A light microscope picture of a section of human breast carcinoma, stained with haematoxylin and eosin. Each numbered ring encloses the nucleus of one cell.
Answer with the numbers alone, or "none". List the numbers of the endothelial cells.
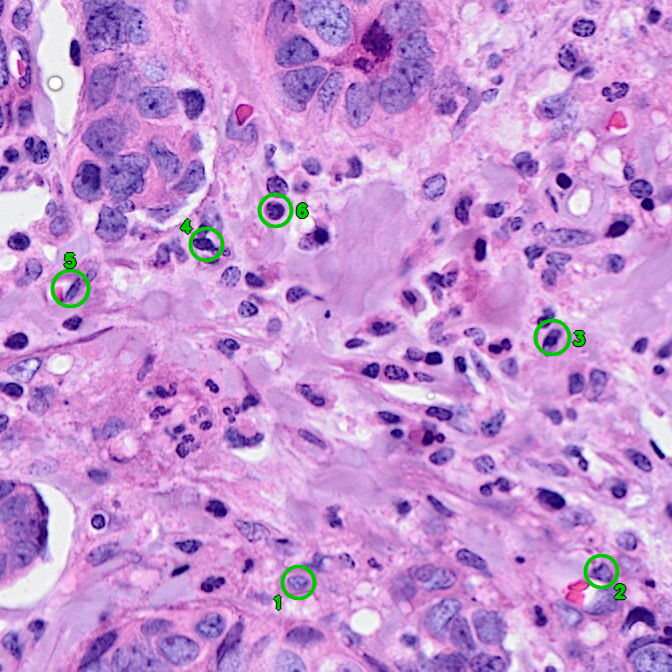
1, 2, 5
